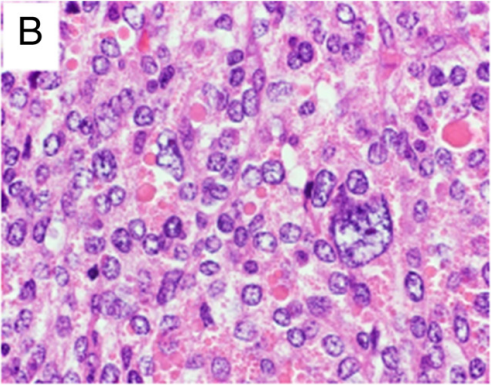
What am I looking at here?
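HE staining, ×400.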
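Closely packed tumor cells with oval to irregular, purple nuclei of unequal size lie in a pale pink background, some nuclei showing distinct nucleoli. Round, glassy, bright pink globules of varying size are scattered between the cells. These are pleomorphic tumor cells with a bizarre giant cell and eosinophilic globules.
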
